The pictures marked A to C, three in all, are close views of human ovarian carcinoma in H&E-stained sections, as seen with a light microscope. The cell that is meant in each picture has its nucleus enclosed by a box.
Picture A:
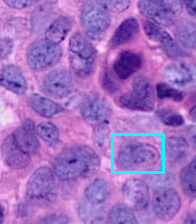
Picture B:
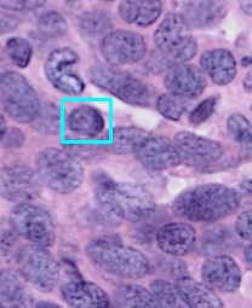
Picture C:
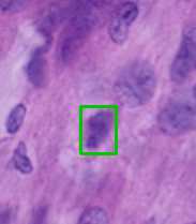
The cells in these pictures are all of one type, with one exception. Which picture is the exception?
C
